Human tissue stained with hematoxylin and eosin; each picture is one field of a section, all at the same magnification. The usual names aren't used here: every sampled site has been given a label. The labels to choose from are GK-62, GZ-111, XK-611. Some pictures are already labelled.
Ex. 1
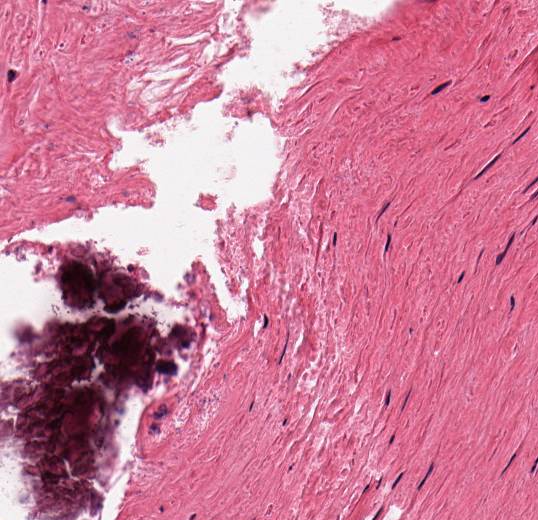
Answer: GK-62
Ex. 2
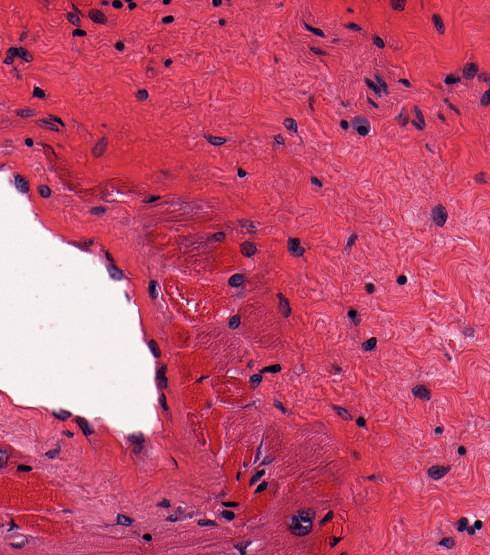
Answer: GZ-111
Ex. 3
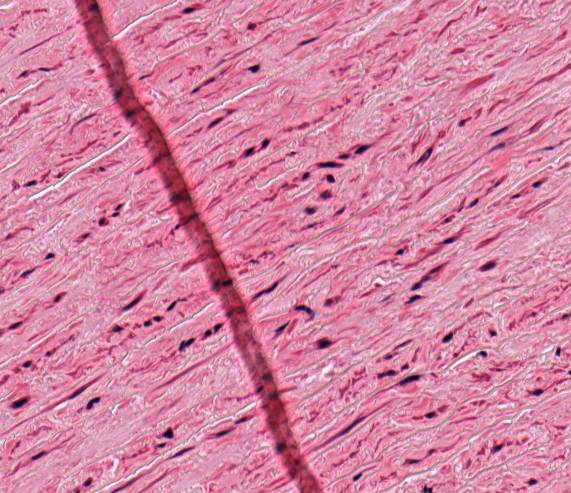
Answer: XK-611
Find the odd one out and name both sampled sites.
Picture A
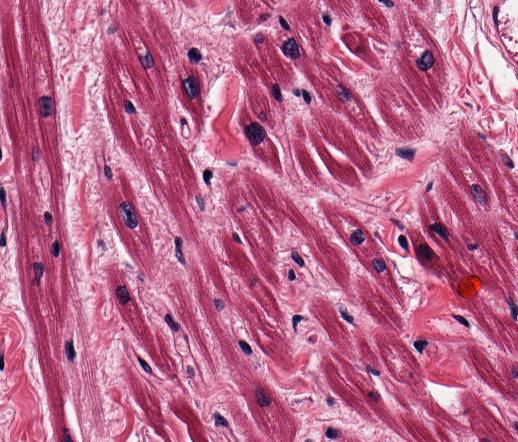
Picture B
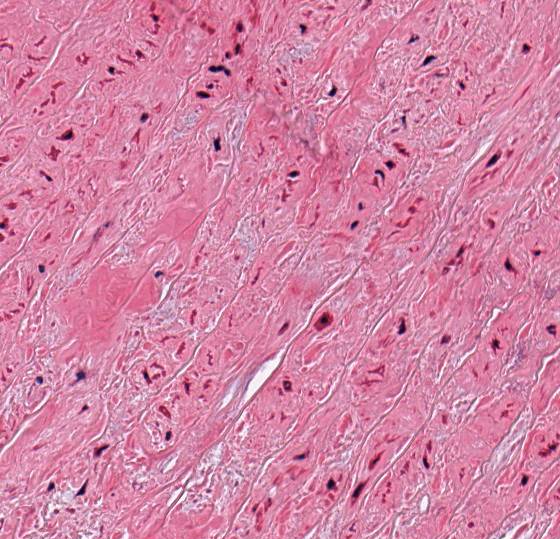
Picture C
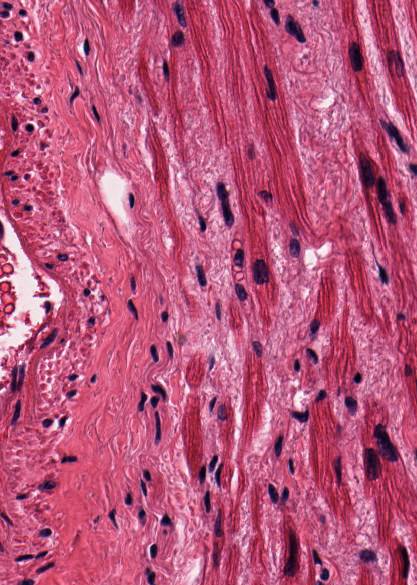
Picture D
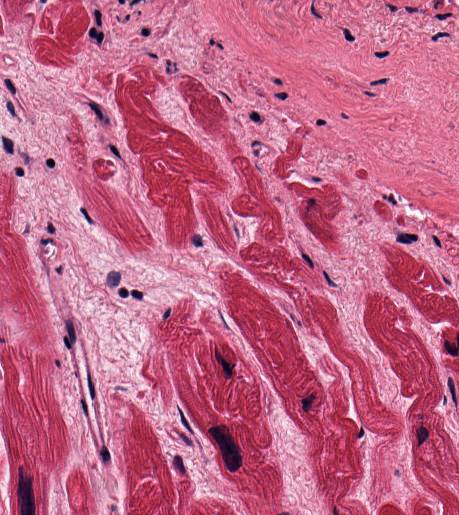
B: XK-611; all the others: GZ-111.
